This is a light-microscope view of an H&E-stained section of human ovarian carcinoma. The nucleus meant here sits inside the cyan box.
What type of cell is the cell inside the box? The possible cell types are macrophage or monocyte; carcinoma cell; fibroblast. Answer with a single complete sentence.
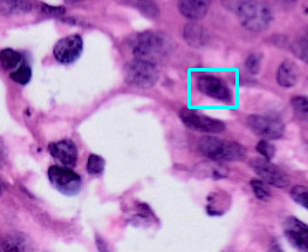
In cell-type terms, the cell inside the box is a carcinoma cell.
